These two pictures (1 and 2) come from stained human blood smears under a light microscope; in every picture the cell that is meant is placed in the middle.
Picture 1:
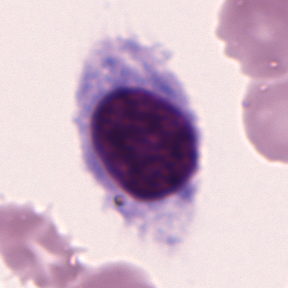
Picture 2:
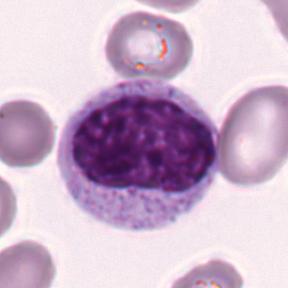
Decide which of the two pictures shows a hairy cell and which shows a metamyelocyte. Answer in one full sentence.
The cell in picture 1 is a hairy cell, and the one in picture 2 is a metamyelocyte.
